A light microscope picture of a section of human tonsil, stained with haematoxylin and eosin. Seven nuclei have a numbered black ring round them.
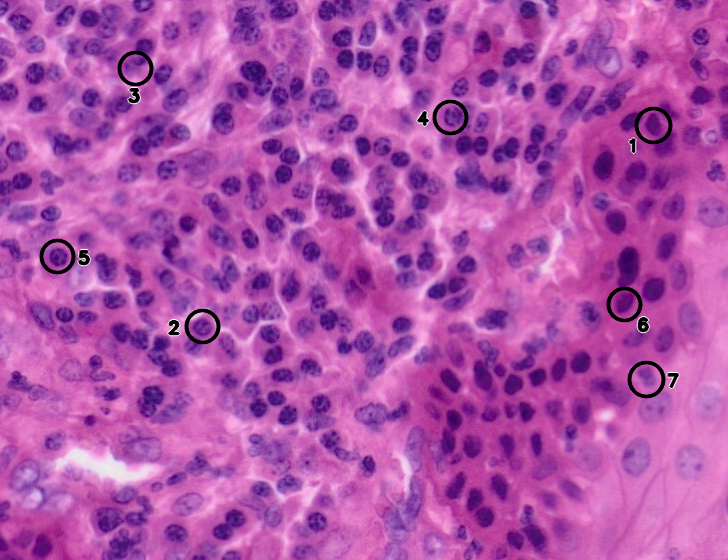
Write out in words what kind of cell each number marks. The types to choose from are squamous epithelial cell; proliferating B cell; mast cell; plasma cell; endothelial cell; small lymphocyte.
Cell 1 is a squamous epithelial cell, cell 2 is a plasma cell, cell 3 is a plasma cell, cell 4 is a plasma cell, cell 5 is a plasma cell, cell 6 is a squamous epithelial cell and cell 7 is a squamous epithelial cell.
